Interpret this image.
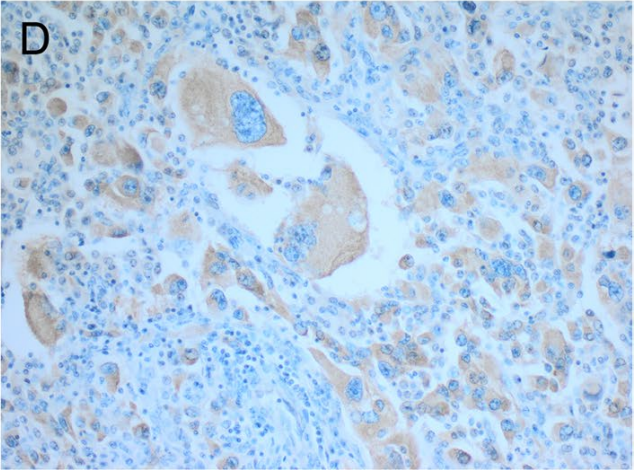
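Tumor cells show light brown cytoplasmic staining, while admixed inflammatory cells stay blue. Large tumor cells, including giant cells with broad cytoplasm and big nuclei, have a diffuse, finely granular brown cytoplasm around blue nuclei with visible nucleoli. Some giant cells contain clear vacuoles. Between them lie many small cells with dark round nuclei and little cytoplasm, which take no brown stain. The tumor cells are loosely arranged and vary in size and shape.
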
